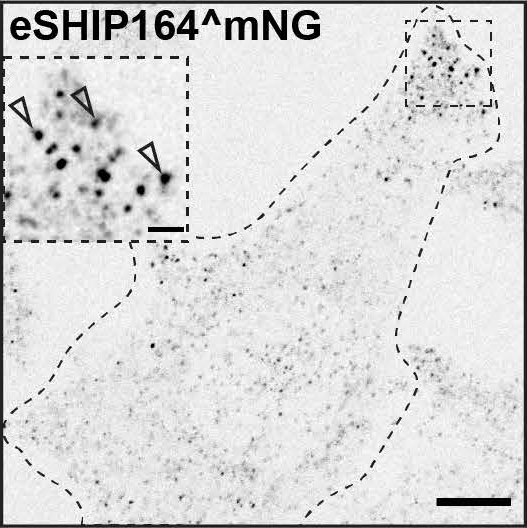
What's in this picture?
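This is a fluorescence image, in inverted greys, of a single flat cultured cell whose outline is traced by a dashed line. The signal appears as many small dark puncta scattered through the cytoplasm. The puncta are most dense and brightest in a protrusion at the upper right edge of the cell, shown enlarged in an inset at the upper left, where open arrowheads point to individual round foci. Elsewhere the puncta are fainter and more diffuse, with a fine speckled background throughout the cell body.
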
